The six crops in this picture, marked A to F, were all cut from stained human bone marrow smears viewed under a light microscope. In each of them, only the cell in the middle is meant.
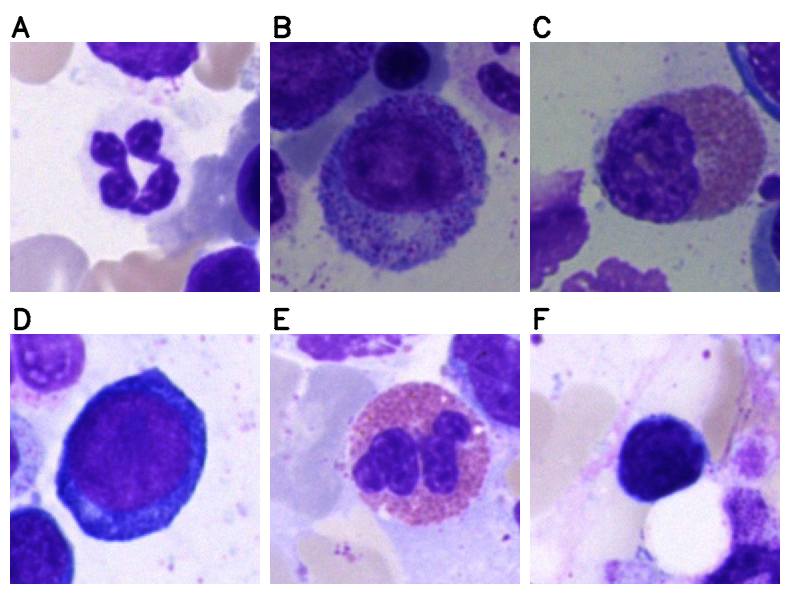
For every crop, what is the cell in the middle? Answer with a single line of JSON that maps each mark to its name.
{"A": "segmented neutrophil", "B": "promyelocyte", "C": "eosinophil", "D": "proerythroblast", "E": "eosinophil", "F": "lymphocyte"}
